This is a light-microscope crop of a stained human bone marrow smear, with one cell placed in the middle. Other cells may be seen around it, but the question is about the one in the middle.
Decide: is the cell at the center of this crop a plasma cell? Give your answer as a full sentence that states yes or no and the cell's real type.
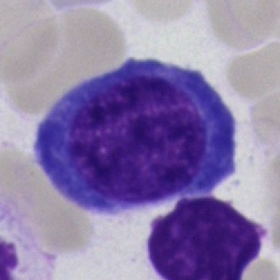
No, the central cell does not represent a plasma cell, but an erythroblast.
